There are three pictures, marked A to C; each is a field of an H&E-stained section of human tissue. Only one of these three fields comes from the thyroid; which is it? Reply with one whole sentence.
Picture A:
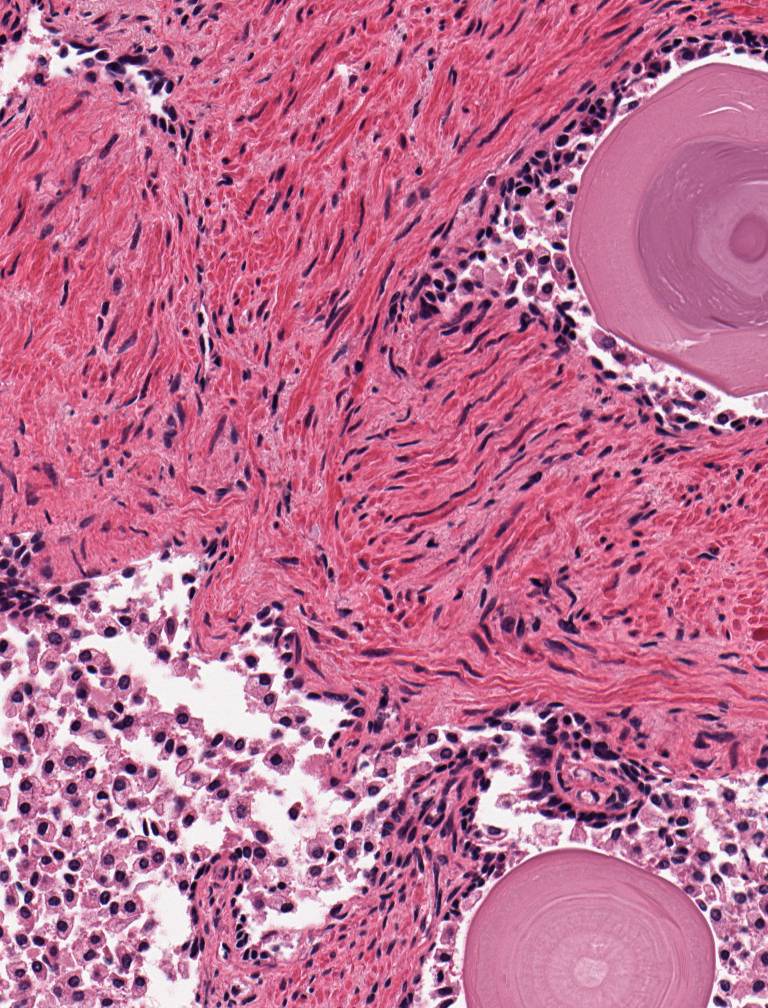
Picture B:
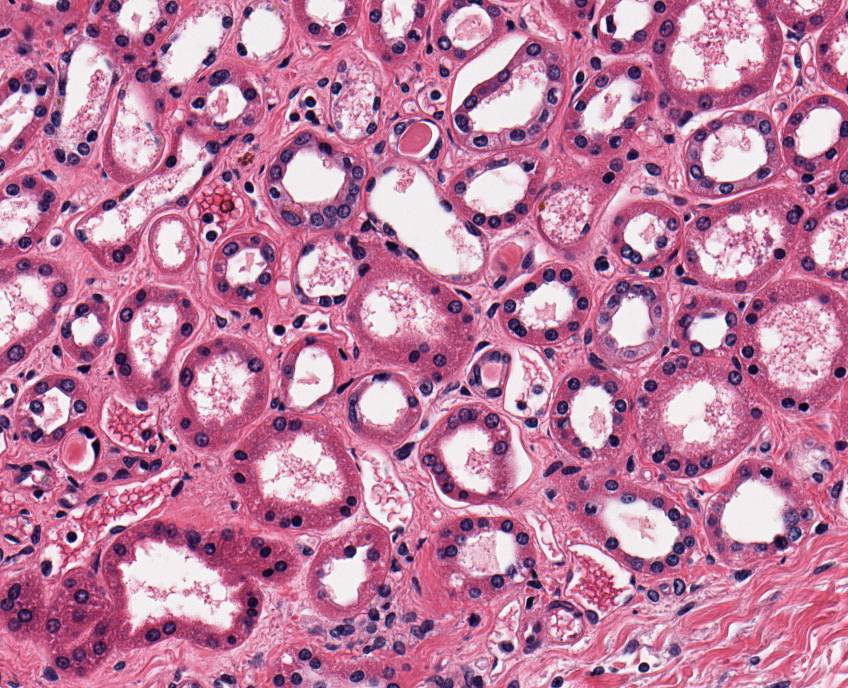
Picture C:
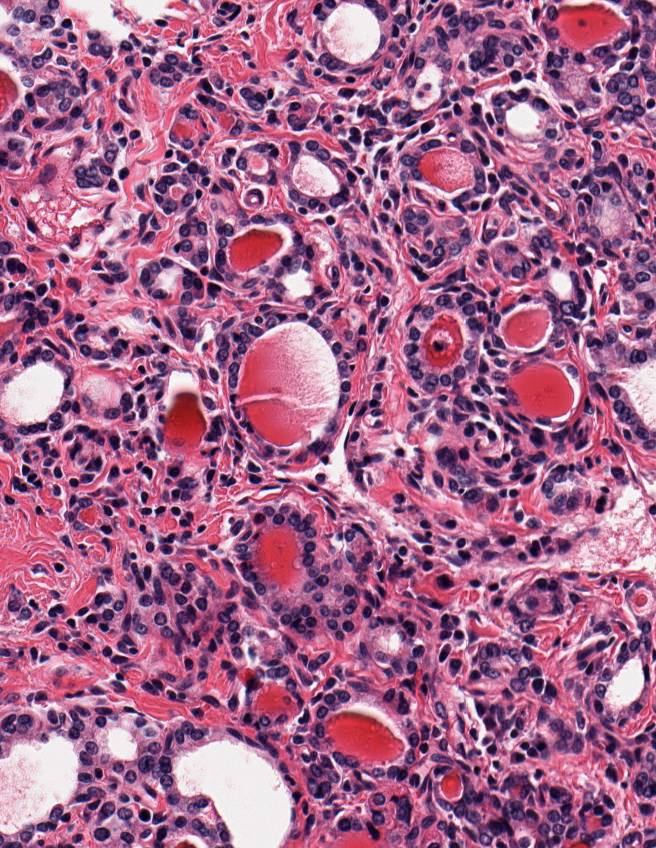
The one that comes from the thyroid is picture C.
